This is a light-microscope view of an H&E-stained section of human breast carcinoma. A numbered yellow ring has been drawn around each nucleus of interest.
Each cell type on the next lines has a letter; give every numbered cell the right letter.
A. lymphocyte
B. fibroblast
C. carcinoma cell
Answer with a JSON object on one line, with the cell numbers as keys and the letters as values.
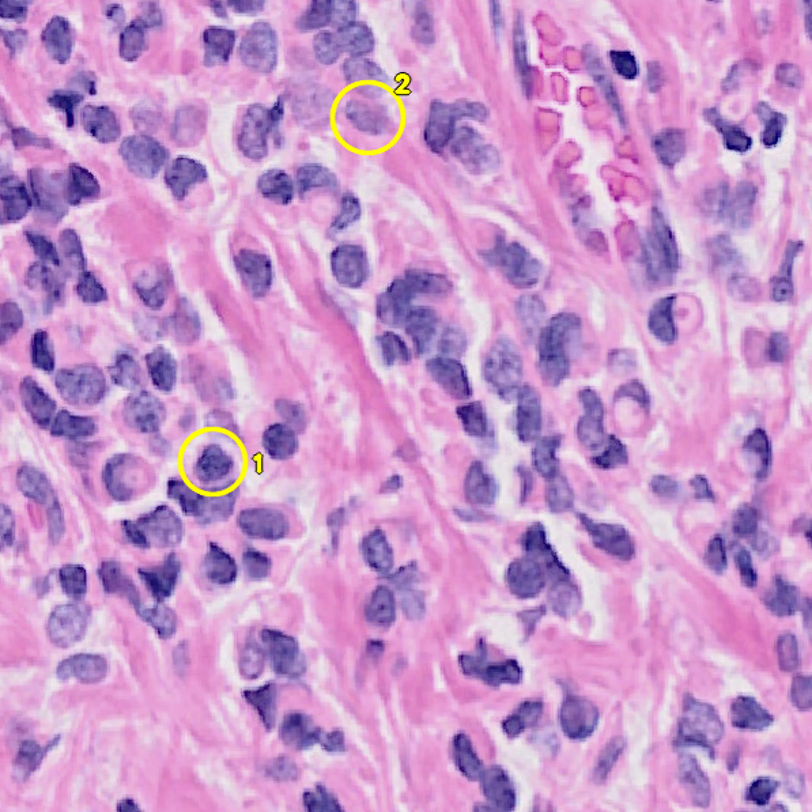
{"1": "A", "2": "C"}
